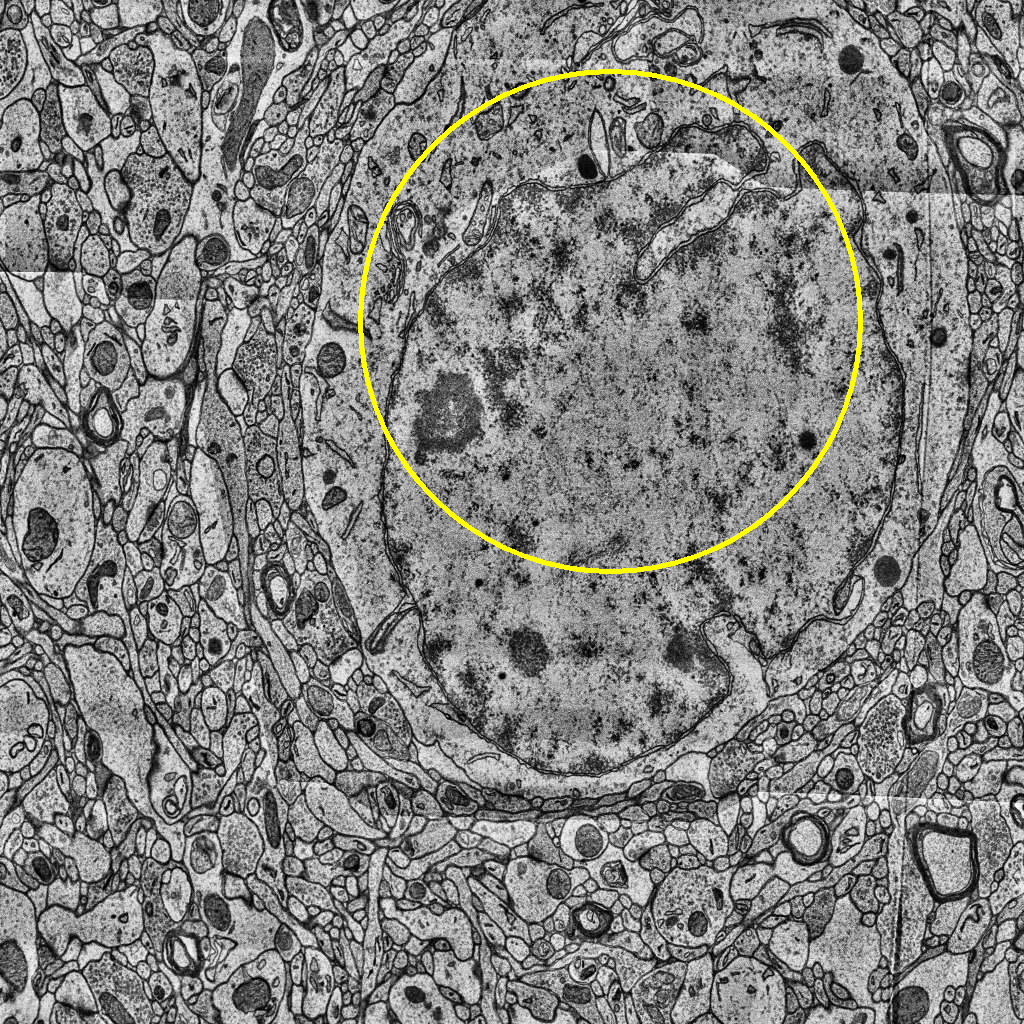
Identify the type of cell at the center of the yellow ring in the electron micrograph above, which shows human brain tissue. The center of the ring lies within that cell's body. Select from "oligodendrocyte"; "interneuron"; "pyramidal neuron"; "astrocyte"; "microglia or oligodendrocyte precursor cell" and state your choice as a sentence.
The center of the yellow ring lies in the body of an interneuron.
